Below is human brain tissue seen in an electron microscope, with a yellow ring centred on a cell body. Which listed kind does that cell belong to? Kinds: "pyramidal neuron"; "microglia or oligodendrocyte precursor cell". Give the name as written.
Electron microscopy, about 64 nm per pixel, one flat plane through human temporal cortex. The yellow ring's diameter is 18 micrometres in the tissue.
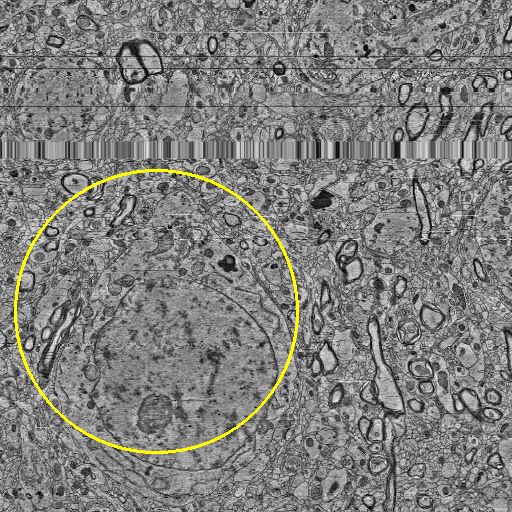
pyramidal neuron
